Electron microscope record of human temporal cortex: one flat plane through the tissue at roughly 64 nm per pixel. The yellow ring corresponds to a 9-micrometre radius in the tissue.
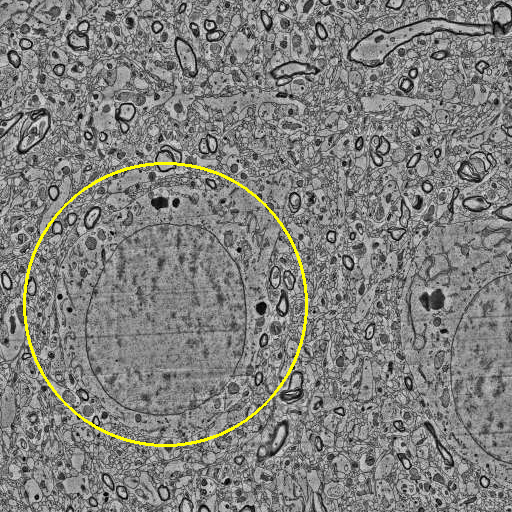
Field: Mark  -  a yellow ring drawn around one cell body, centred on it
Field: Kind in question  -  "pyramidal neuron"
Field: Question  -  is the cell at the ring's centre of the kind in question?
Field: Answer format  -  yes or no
yes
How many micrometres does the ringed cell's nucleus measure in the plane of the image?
The nucleus measures about 13 by 10 micrometres in this plane.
